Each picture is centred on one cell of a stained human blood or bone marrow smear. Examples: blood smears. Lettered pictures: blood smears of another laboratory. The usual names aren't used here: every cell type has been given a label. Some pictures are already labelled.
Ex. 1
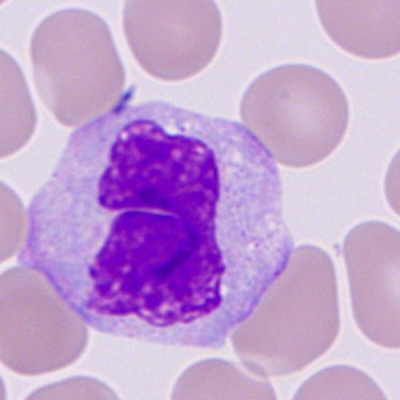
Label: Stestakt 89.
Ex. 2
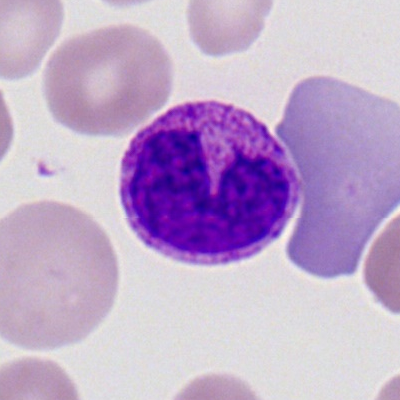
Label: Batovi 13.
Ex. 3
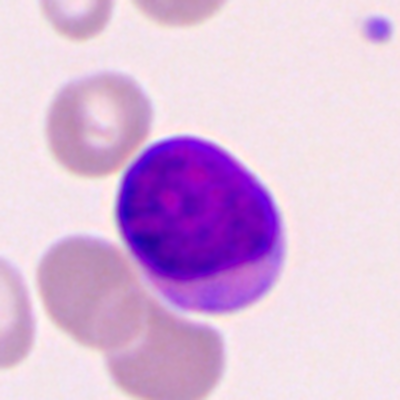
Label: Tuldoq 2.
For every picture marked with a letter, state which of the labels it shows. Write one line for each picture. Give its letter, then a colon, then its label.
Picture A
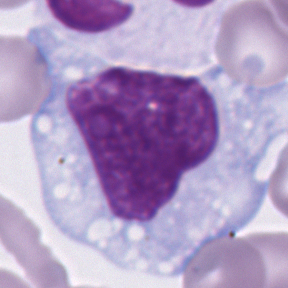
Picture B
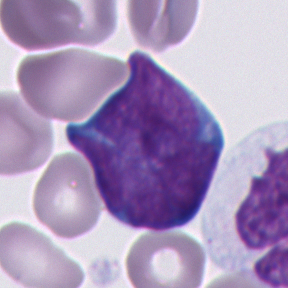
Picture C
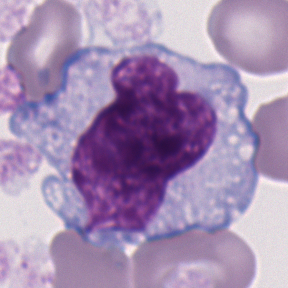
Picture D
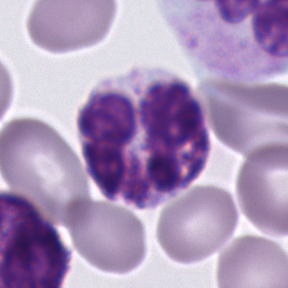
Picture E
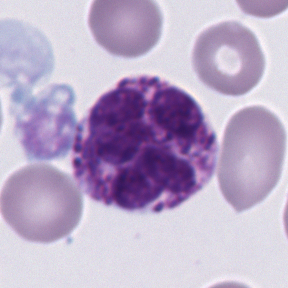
A: Stestakt 89.
B: Tuldoq 2.
C: Stestakt 89.
D: Batovi 13.
E: Batovi 13.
